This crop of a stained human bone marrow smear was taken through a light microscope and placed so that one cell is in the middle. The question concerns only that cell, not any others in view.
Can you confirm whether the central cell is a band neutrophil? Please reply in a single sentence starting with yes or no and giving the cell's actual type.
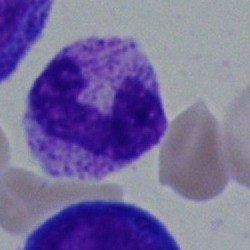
Yes, the central cell here is a band neutrophil.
